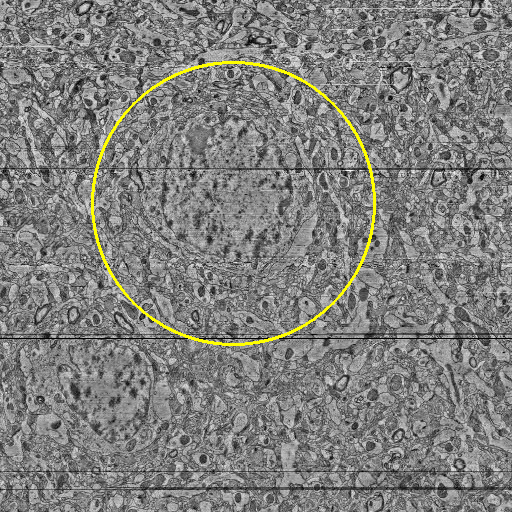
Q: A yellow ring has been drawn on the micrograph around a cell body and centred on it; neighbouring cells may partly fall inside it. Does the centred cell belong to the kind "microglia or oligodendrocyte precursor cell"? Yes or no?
No, it belongs to another kind.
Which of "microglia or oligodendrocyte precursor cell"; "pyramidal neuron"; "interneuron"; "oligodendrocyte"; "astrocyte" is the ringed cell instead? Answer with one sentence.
Sitting at the ring centre is an interneuron.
